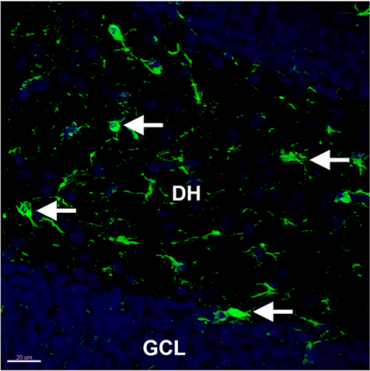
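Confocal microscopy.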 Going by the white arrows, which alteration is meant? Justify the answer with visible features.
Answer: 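The arrowed green cells have rounded, compact cell bodies.
Conclusion: amoeboid morphology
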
